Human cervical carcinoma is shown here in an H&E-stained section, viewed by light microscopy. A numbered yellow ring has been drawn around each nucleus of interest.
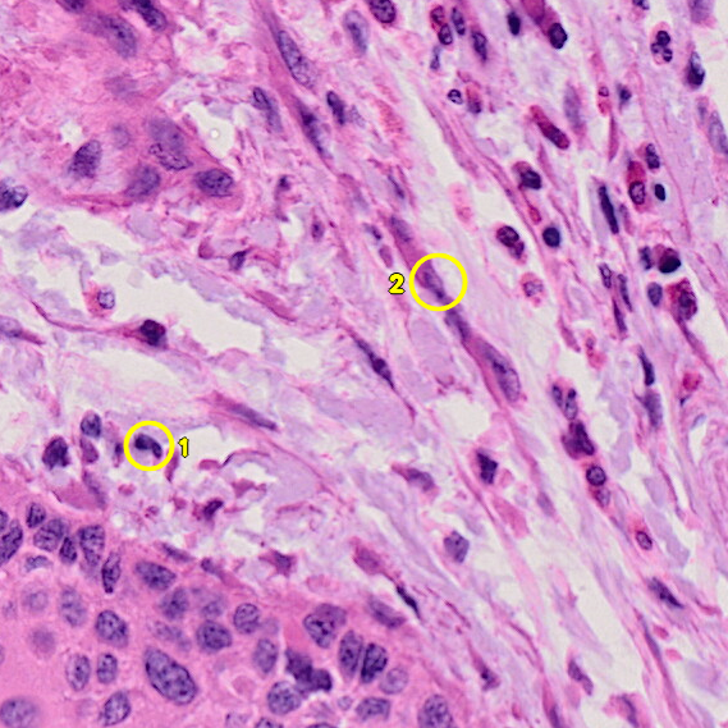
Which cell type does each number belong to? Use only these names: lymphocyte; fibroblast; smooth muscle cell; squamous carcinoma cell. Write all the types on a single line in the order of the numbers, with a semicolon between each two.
lymphocyte; fibroblast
